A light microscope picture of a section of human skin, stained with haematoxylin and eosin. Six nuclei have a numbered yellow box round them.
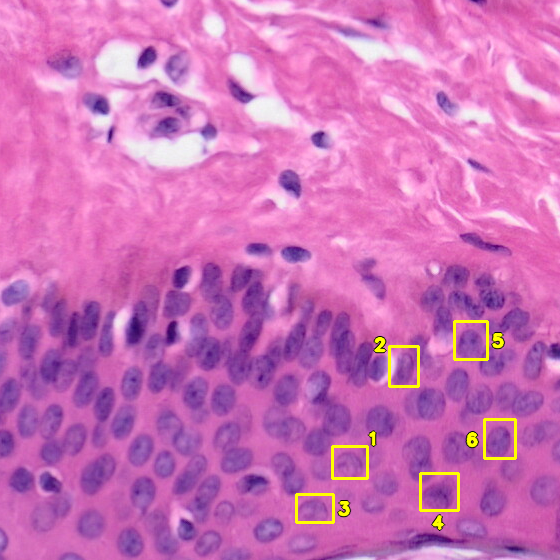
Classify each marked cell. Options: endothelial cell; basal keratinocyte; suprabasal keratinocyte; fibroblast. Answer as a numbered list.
1. suprabasal keratinocyte
2. basal keratinocyte
3. suprabasal keratinocyte
4. suprabasal keratinocyte
5. basal keratinocyte
6. suprabasal keratinocyte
